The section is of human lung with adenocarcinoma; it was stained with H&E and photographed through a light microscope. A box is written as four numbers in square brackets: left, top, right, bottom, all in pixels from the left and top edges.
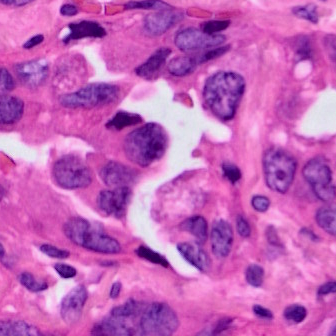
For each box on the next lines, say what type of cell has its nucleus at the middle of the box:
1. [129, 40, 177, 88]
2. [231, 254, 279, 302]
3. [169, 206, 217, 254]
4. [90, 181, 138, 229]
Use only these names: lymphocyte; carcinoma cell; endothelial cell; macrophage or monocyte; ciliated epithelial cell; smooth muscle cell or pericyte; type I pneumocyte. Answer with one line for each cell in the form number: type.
1: carcinoma cell
2: lymphocyte
3: carcinoma cell
4: carcinoma cell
